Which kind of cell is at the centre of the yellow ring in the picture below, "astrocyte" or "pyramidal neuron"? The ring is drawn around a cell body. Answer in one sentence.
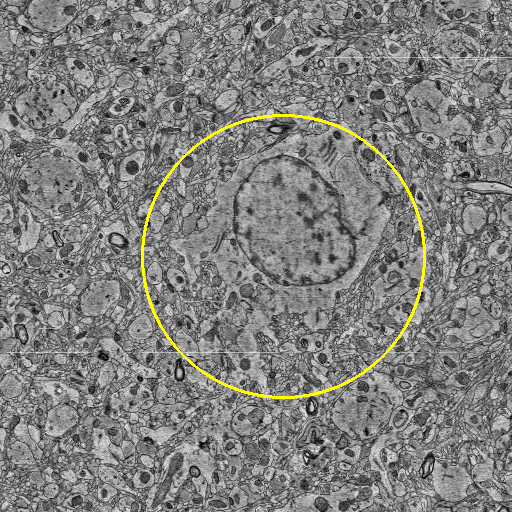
The ring's central cell is an astrocyte.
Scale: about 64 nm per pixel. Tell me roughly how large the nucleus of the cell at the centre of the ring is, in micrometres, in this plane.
The nucleus appears roughly 9 by 7 micrometres in this plane.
